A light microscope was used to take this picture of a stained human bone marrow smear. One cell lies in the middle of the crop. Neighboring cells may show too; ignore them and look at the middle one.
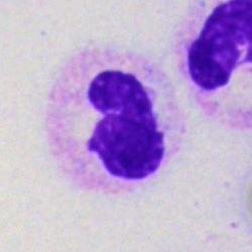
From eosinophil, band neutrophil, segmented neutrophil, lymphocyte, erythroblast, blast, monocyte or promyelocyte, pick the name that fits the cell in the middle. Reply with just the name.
segmented neutrophil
